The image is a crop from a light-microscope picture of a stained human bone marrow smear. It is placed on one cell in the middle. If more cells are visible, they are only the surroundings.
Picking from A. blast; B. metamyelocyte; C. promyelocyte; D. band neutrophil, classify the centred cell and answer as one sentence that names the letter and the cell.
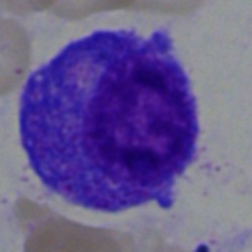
In the centre of the crop there is a promyelocyte, making option C correct.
